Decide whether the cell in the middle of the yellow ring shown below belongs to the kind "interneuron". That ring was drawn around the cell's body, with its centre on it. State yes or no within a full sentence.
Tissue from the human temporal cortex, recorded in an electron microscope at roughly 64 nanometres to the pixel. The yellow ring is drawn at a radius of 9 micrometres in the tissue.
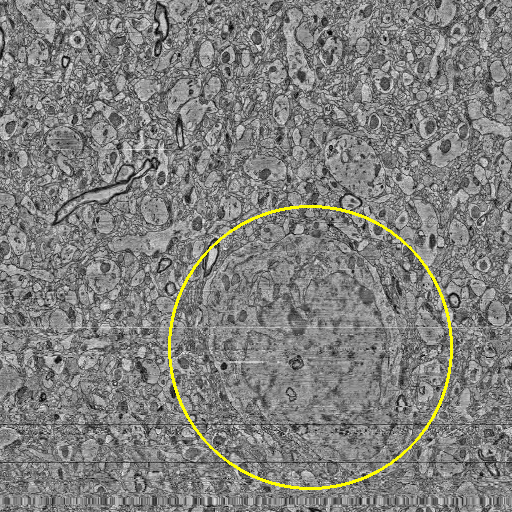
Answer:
Yes, the cell whose body lies at the ring's centre in the picture belongs to that kind.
